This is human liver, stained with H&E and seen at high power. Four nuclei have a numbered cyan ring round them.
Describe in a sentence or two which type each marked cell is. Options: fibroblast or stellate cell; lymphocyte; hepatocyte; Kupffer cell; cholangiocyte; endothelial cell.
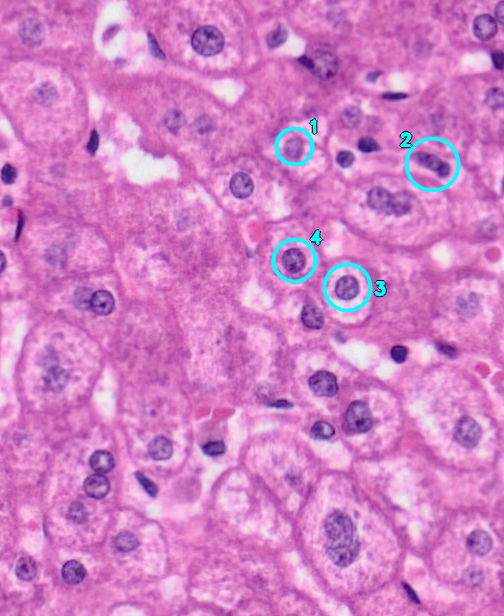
Cell 1 is a hepatocyte, cell 2 is a Kupffer cell, cell 3 is a hepatocyte and cell 4 is a hepatocyte.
